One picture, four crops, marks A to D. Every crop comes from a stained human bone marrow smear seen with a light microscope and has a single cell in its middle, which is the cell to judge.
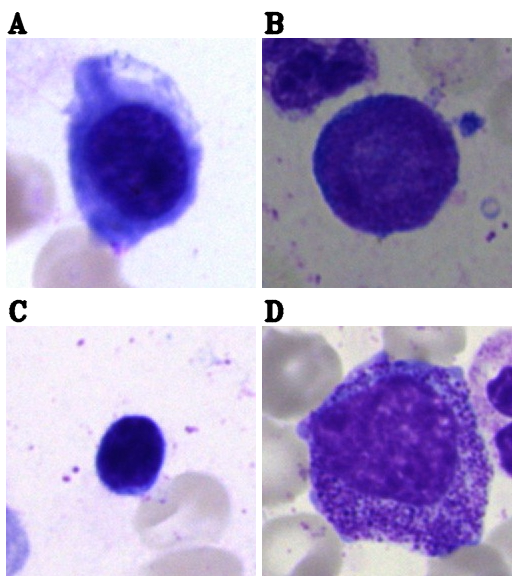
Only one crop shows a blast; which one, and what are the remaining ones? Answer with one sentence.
Here crop B shows a blast, while crop A is an erythroblast, crop C is a lymphocyte and crop D is a promyelocyte.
